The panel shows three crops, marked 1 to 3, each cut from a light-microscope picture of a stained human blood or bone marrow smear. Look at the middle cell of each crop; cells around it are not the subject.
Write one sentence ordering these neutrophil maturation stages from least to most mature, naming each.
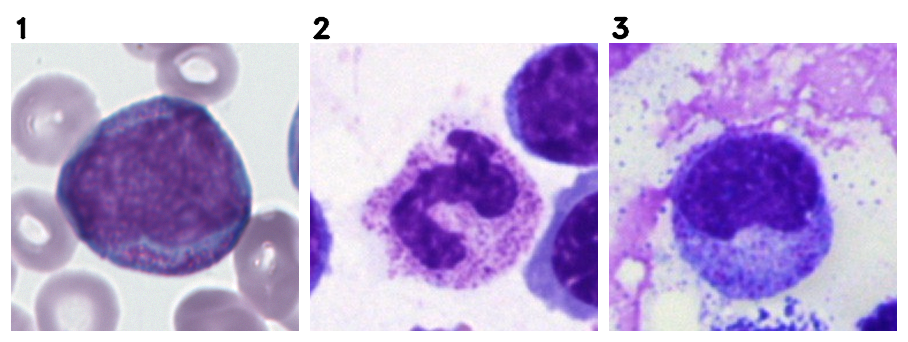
Moving up in maturity, the order goes crop 1 (a promyelocyte), crop 3 (a myelocyte) and crop 2 (a segmented neutrophil).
